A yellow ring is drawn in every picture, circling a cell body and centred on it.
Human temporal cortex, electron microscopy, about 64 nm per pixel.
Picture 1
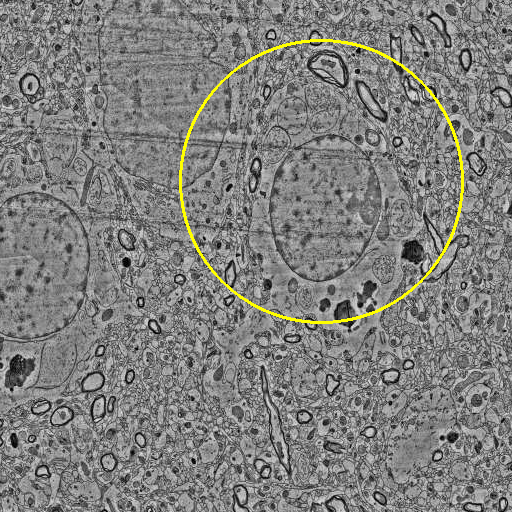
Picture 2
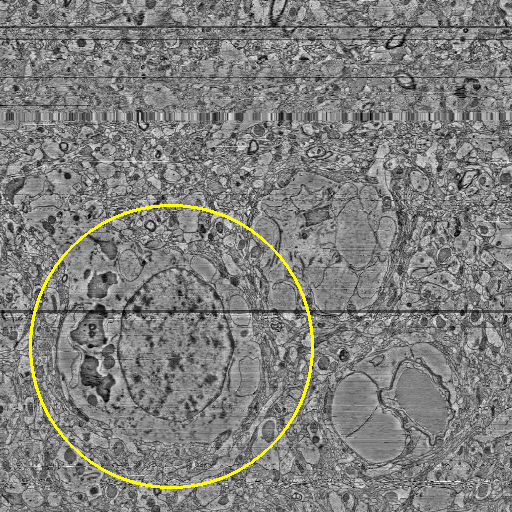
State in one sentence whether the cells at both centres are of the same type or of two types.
The cells at the two ring centres, one per picture, are of the same type.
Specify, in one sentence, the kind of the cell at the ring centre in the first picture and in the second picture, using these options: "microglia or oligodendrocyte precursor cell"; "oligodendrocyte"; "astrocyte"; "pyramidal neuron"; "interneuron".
Each of the two rings is centred on an astrocyte.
